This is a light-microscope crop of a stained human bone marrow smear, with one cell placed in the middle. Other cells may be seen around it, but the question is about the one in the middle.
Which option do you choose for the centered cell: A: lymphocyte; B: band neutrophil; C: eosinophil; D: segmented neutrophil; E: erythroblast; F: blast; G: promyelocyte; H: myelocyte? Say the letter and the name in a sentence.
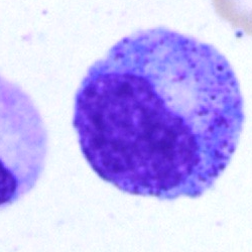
Identified correctly by option H, the cell in the middle is a myelocyte.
